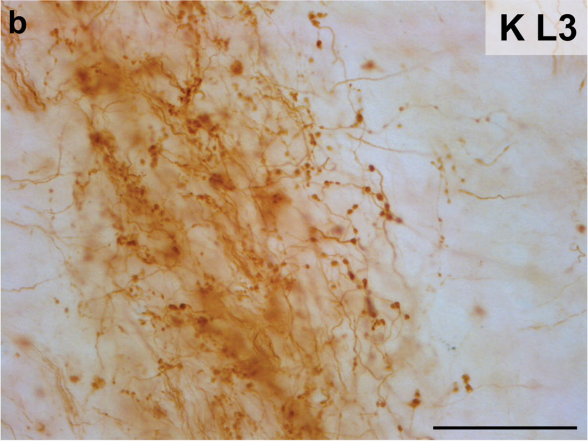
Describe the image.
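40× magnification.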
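Fine brown fibres wind through a pale background, crossing one another in many directions. Along their course and at their tips they carry round to oval dark-brown swellings, the boutons, which differ in size, some small beads and some larger knobs. The fibres and boutons gather into a dense, darker band running obliquely through the middle of the field, while toward the right the fibres thin out and the boutons stand apart singly or in small groups against the unstained tissue.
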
